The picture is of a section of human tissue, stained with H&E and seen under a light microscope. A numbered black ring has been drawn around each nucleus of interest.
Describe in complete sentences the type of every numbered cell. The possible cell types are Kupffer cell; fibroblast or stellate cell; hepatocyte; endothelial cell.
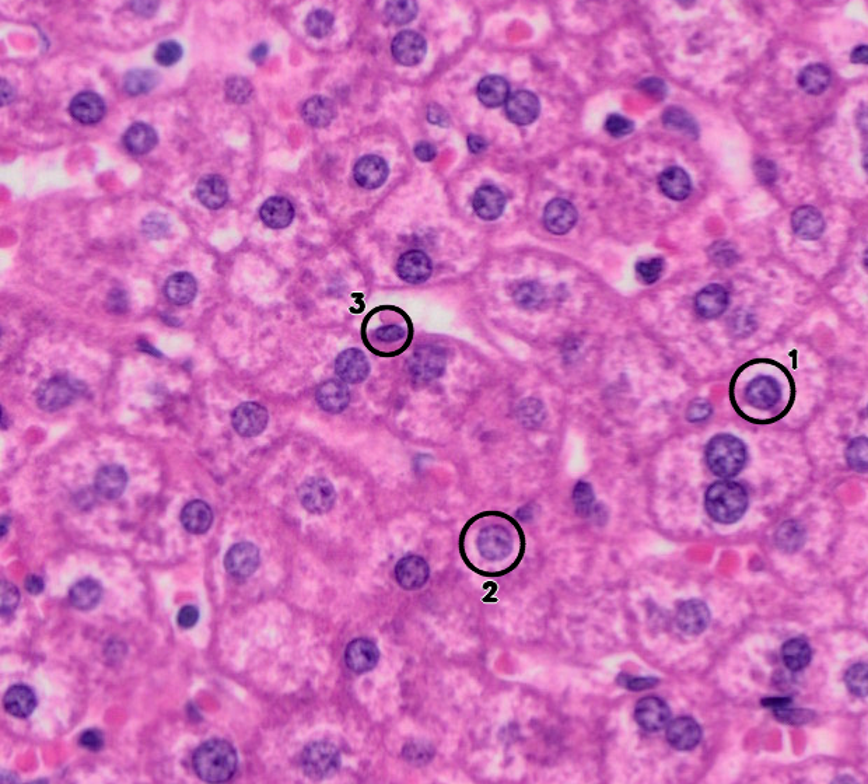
Cells 1 and 2 are hepatocytes. Cell 3 is a Kupffer cell.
